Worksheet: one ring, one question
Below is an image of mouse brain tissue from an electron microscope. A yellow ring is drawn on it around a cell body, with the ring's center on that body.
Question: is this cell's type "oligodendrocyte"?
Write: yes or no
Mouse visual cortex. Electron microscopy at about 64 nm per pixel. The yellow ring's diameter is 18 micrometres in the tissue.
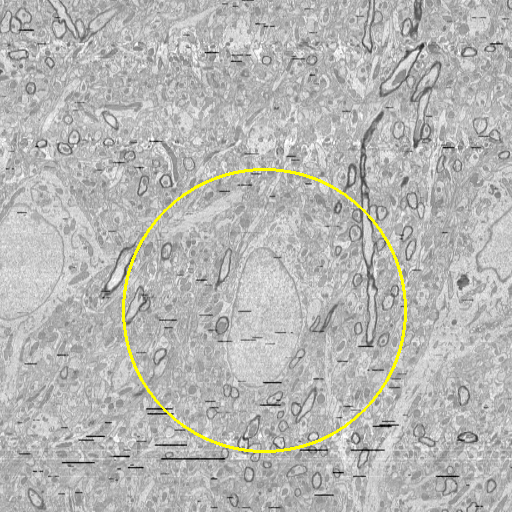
no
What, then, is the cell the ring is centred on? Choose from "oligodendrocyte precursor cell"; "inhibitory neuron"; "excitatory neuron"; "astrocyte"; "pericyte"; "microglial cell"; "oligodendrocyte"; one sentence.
The correct answer is that the cell is an astrocyte.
